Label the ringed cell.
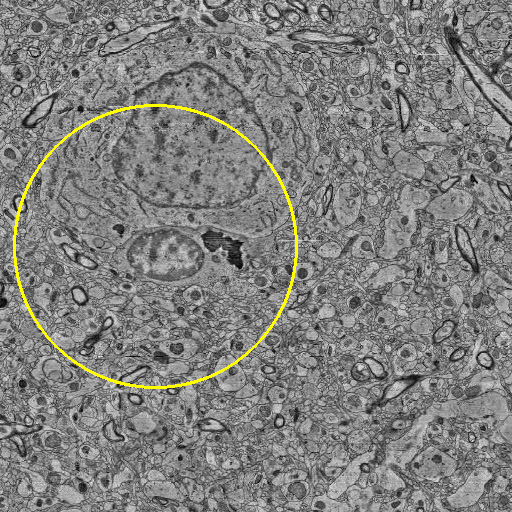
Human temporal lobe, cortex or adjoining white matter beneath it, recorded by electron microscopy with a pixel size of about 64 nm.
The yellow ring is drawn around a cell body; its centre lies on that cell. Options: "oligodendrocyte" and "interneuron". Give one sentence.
The ringed cell is an oligodendrocyte.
